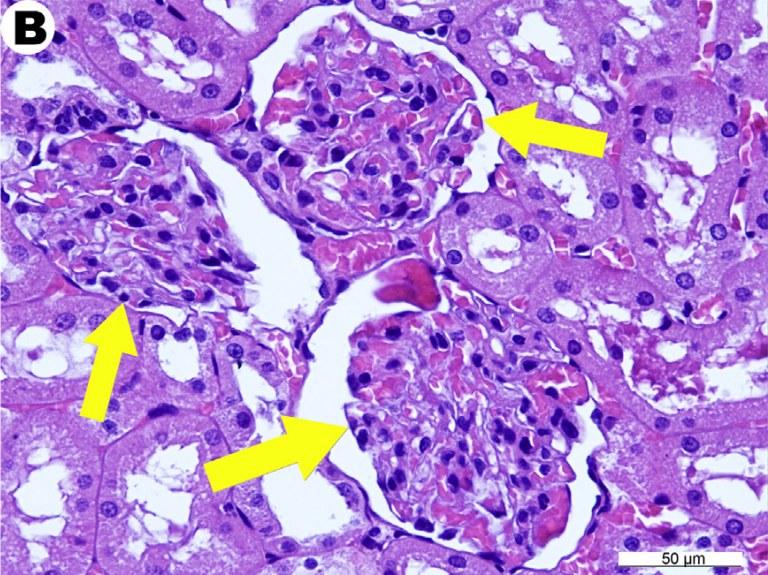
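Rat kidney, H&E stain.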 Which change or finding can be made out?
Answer: Capillaries of the renal glomeruli appear full-blooded.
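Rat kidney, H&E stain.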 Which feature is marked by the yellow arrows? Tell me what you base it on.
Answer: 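Each arrow points to a rounded, cell-dense tuft of capillaries. Each tuft is surrounded by a clear space and a thin capsule. The tufts lie among cross-sections of tubules. So: renal glomeruli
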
